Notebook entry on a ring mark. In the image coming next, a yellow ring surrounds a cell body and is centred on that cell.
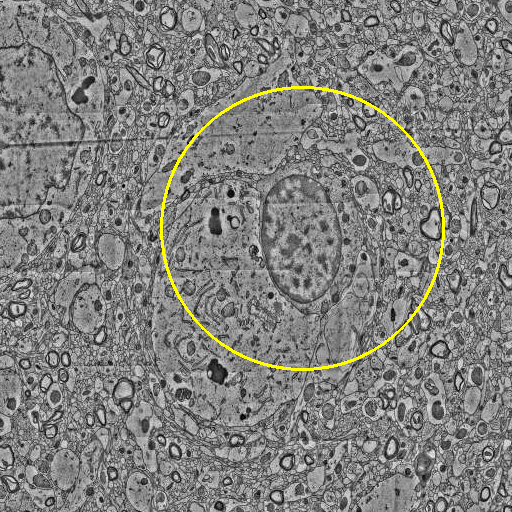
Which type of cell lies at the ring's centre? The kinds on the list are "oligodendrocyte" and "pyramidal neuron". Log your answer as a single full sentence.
Centred in the yellow ring is an oligodendrocyte, the cell recorded for this image.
